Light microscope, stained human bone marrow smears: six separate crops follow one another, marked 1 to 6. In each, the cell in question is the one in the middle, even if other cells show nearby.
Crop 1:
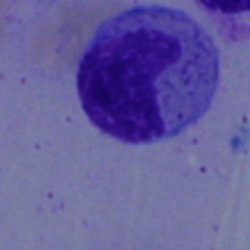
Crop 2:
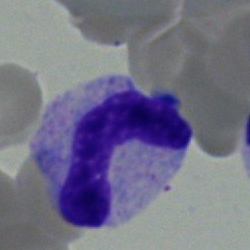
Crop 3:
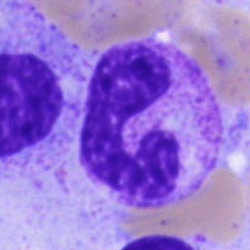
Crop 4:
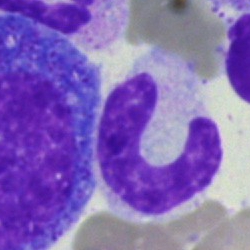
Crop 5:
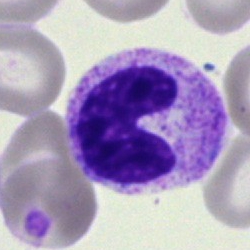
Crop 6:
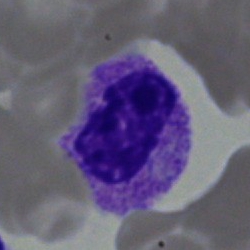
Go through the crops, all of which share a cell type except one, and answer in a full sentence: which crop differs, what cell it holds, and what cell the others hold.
All of the other crops show band neutrophils; crop 1, by contrast, is a metamyelocyte.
